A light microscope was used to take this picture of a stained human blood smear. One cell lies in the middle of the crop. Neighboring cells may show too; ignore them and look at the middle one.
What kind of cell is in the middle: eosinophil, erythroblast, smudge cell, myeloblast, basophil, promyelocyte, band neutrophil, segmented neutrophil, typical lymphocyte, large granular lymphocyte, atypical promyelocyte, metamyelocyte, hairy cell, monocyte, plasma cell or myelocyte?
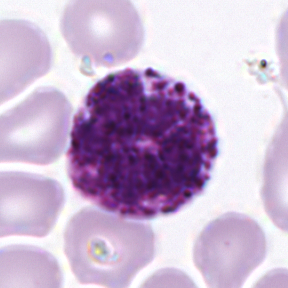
basophil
